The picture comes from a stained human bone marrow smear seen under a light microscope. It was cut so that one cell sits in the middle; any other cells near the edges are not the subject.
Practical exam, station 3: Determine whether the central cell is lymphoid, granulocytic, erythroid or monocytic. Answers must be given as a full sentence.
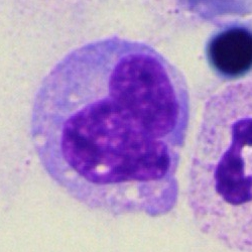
The cell sitting in the middle of this crop is of the monocytic line.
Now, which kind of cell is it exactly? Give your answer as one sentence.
As for the central cell, it is a monocyte.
